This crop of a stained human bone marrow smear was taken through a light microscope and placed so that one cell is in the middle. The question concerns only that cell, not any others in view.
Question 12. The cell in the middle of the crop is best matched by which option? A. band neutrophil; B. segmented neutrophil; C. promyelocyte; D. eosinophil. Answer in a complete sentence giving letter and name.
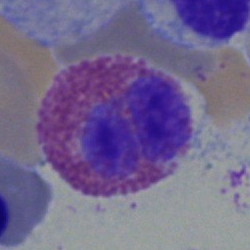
The cell at the centre is an eosinophil, and option D accordingly is correct.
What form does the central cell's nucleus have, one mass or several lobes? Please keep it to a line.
If you check the nucleus, you will find it split into two or more lobes.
